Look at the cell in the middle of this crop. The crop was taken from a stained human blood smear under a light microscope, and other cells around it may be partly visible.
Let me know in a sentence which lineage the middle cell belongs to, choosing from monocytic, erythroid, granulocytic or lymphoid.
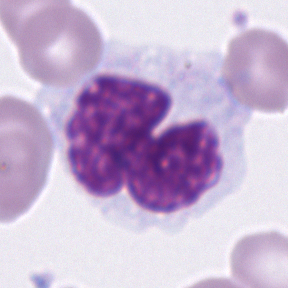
By lineage, the cell in the middle of the crop is monocytic.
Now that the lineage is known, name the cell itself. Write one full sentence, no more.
This particular crop is centered on a monocyte.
